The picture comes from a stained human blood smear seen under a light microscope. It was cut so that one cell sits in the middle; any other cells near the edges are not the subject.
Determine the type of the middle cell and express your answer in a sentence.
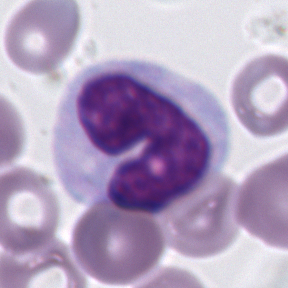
The cell positioned in the middle of the field is a band neutrophil.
